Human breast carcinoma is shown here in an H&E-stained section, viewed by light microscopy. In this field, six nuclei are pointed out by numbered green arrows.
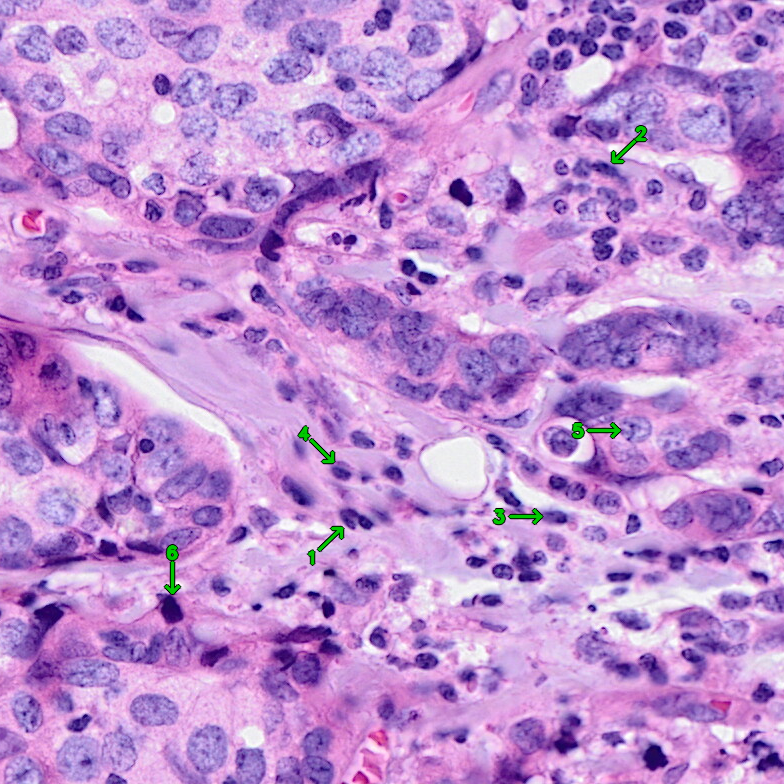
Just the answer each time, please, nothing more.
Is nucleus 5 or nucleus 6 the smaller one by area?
6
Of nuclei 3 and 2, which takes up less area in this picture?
2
